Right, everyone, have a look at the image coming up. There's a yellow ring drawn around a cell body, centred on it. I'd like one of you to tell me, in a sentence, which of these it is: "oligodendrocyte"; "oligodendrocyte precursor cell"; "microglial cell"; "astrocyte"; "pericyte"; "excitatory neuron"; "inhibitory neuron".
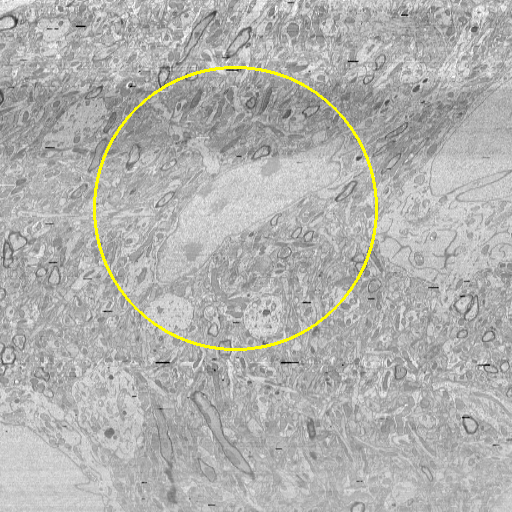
The yellow ring sits on an oligodendrocyte precursor cell.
